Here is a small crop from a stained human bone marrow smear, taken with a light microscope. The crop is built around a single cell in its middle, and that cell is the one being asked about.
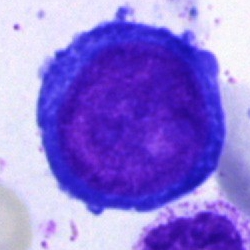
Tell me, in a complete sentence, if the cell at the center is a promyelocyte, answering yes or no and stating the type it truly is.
No; rather than a promyelocyte, the cell at the center is a proerythroblast.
